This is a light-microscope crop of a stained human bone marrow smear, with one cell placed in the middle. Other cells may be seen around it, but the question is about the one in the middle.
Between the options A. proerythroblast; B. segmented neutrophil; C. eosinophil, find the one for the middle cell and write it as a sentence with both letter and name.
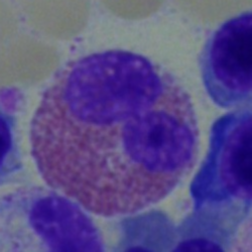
Of the options given, C is correct, the central cell being an eosinophil.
